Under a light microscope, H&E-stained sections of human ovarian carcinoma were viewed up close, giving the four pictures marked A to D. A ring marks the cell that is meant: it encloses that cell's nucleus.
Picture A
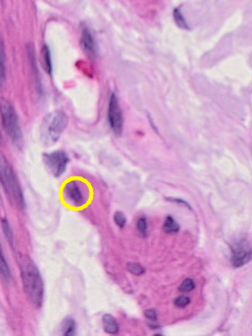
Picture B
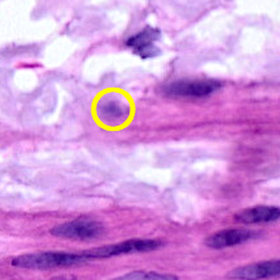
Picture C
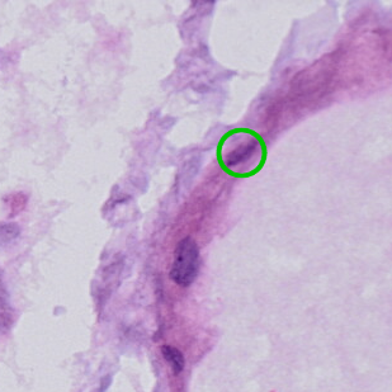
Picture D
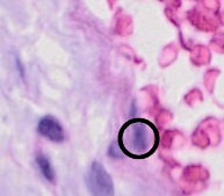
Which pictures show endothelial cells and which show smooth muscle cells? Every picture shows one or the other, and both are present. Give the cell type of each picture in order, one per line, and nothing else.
smooth muscle cell
smooth muscle cell
endothelial cell
endothelial cell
